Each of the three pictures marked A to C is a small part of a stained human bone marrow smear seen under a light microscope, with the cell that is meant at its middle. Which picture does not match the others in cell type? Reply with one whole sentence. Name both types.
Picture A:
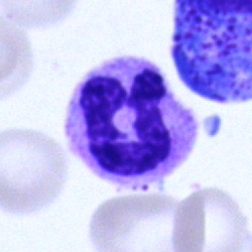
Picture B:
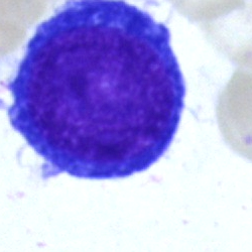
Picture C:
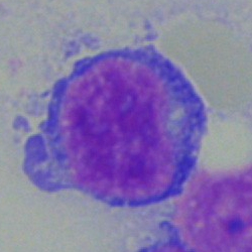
All pictures except A show proerythroblasts; picture A shows a segmented neutrophil.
